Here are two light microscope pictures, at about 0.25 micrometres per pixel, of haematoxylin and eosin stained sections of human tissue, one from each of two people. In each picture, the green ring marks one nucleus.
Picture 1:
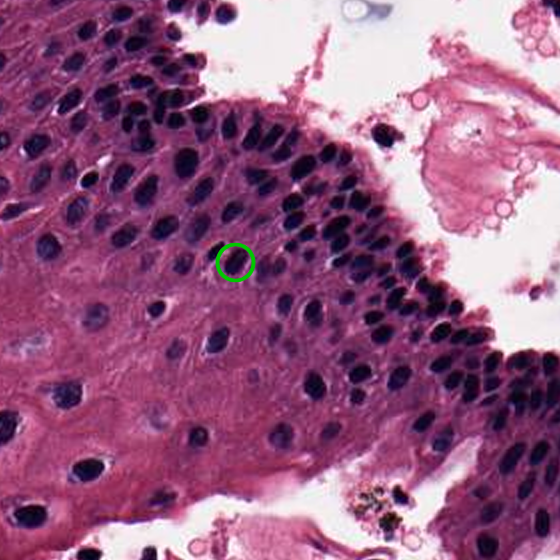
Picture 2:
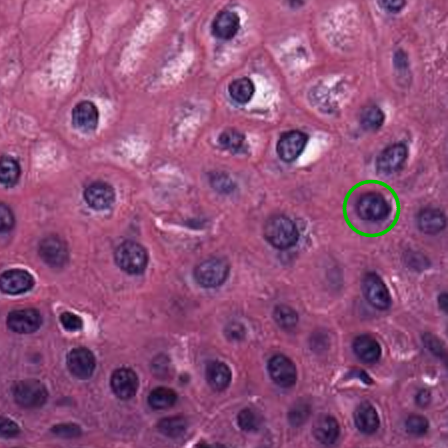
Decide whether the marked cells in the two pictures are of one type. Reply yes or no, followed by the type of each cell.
Yes, both are squamous epithelial cells.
